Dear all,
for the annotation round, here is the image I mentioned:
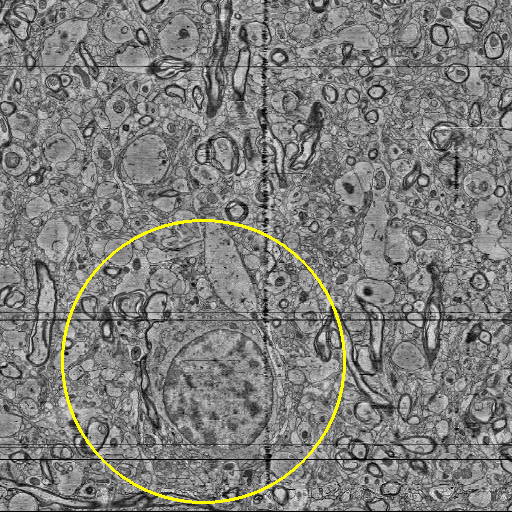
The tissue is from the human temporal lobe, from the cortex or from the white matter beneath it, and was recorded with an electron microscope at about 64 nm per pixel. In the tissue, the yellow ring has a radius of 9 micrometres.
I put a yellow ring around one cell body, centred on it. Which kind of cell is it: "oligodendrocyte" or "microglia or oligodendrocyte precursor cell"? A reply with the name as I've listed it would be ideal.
oligodendrocyte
